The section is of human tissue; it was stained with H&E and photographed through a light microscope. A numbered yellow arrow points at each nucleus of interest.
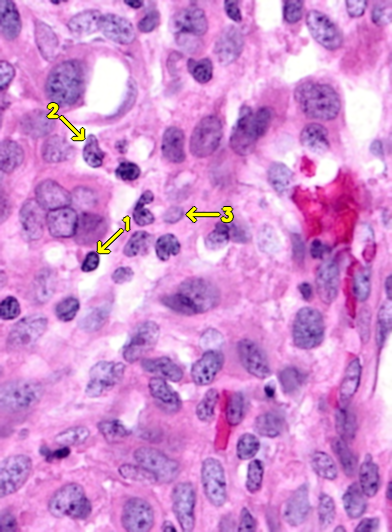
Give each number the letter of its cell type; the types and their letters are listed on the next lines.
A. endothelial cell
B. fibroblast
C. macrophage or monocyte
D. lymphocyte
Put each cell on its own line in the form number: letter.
1: D
2: C
3: C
